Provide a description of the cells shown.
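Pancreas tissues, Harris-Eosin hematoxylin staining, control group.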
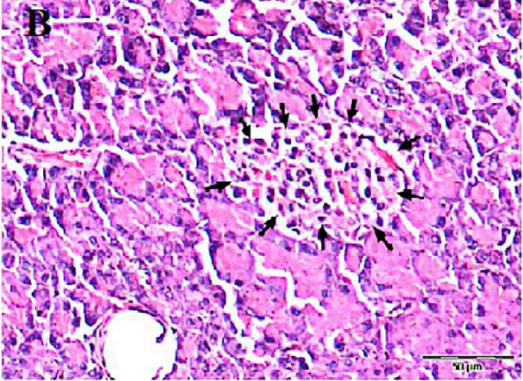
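Among the pink-and-purple acini lies a loose, poorly bounded cluster of cells with small dark nuclei, scant cytoplasm and gaps between them, and the surrounding acinar tissue looks disorganized with clefts. This is an islet of Langerhans whose cells show degeneration.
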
